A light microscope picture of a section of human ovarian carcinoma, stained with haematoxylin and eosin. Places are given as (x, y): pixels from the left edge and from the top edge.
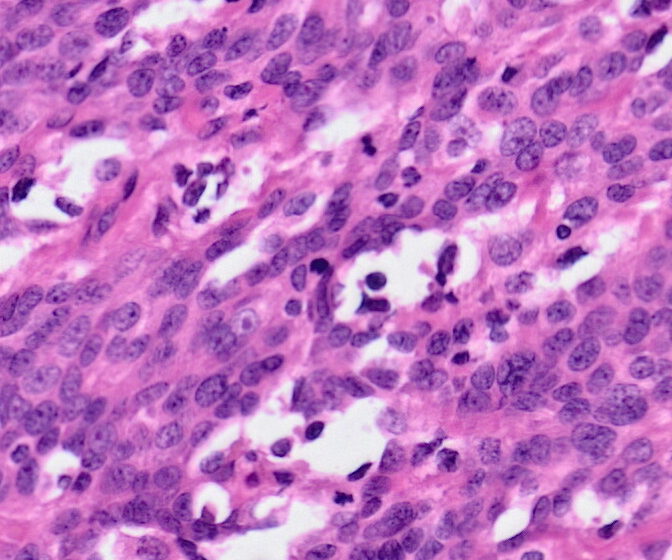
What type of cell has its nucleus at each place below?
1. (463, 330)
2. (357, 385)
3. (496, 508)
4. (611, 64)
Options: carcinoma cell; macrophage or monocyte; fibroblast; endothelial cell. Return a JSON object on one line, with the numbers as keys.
{"1": "macrophage or monocyte", "2": "carcinoma cell", "3": "carcinoma cell", "4": "carcinoma cell"}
